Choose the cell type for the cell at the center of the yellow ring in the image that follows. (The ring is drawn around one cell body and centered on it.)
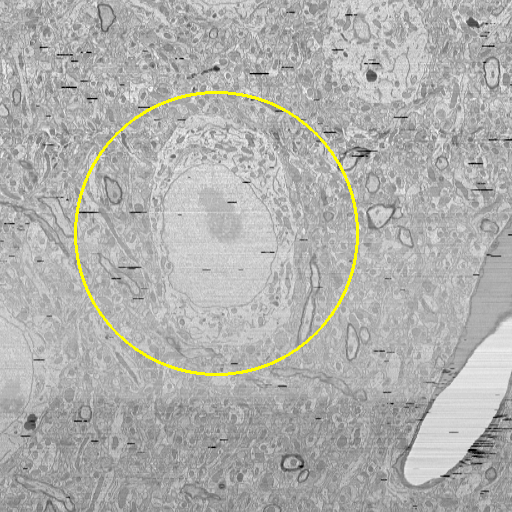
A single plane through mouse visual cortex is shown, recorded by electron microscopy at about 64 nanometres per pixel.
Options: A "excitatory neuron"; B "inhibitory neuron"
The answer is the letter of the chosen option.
B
